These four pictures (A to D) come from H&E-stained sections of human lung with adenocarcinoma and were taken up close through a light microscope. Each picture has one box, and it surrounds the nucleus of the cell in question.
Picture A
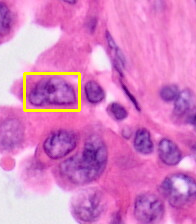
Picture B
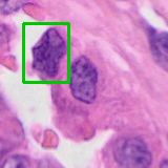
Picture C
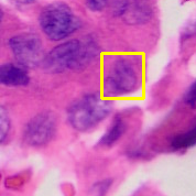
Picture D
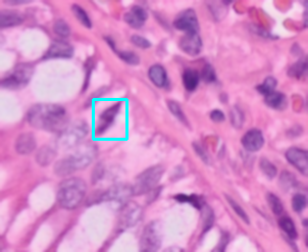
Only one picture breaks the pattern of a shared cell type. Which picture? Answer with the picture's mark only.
D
